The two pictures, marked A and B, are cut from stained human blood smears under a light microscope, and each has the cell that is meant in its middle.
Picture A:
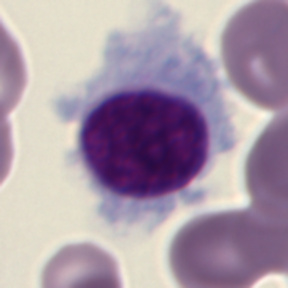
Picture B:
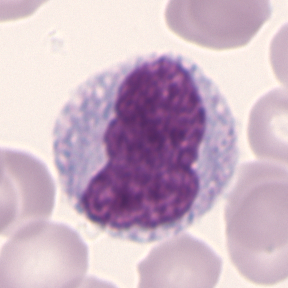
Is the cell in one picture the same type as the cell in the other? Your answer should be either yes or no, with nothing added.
no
